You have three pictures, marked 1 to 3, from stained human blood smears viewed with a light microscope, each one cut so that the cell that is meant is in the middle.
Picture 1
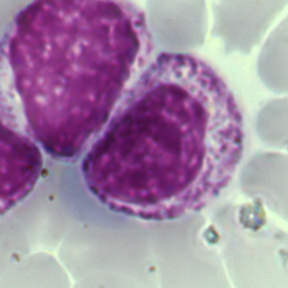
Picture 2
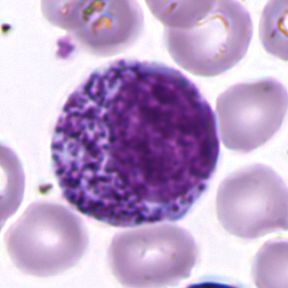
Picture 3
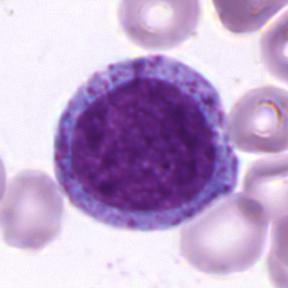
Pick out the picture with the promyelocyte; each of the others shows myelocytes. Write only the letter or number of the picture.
3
